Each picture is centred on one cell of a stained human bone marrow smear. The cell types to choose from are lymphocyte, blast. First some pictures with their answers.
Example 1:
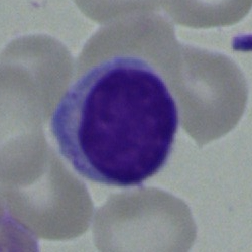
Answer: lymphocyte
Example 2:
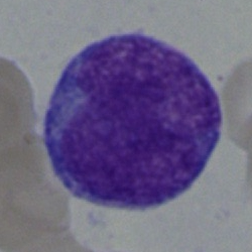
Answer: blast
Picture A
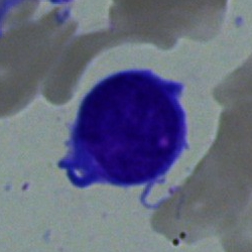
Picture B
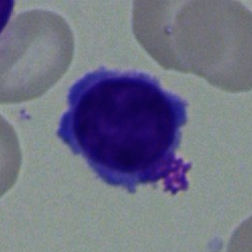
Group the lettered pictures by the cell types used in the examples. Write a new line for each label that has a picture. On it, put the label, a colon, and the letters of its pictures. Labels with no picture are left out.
lymphocyte: B
blast: A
